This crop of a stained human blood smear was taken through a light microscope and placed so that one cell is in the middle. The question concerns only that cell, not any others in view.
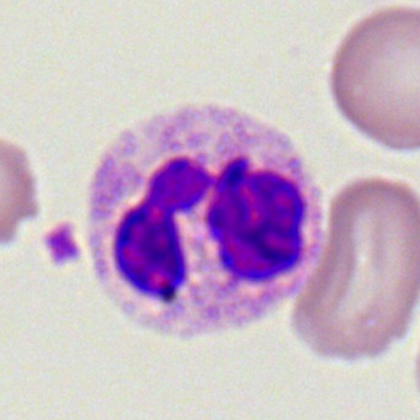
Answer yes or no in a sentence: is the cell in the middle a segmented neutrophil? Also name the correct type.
Yes, the cell that the crop is centered on is a segmented neutrophil.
